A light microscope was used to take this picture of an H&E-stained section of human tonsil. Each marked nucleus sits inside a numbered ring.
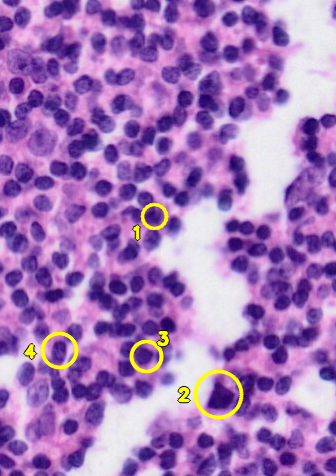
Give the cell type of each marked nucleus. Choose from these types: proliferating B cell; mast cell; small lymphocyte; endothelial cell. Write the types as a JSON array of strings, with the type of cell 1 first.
["small lymphocyte", "proliferating B cell", "small lymphocyte", "small lymphocyte"]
